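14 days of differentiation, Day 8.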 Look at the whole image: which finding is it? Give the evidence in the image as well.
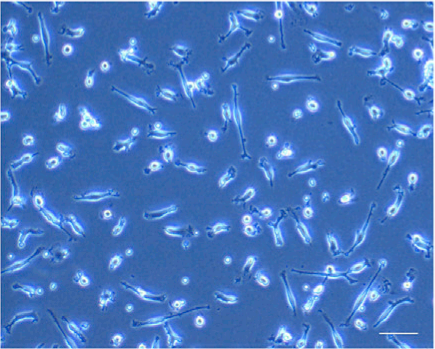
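Many cells are drawn out into spindle or rod shapes. Processes are mostly one or two per cell, little branched. Some round bright cells remain among them. That points to this answer: elongated.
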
